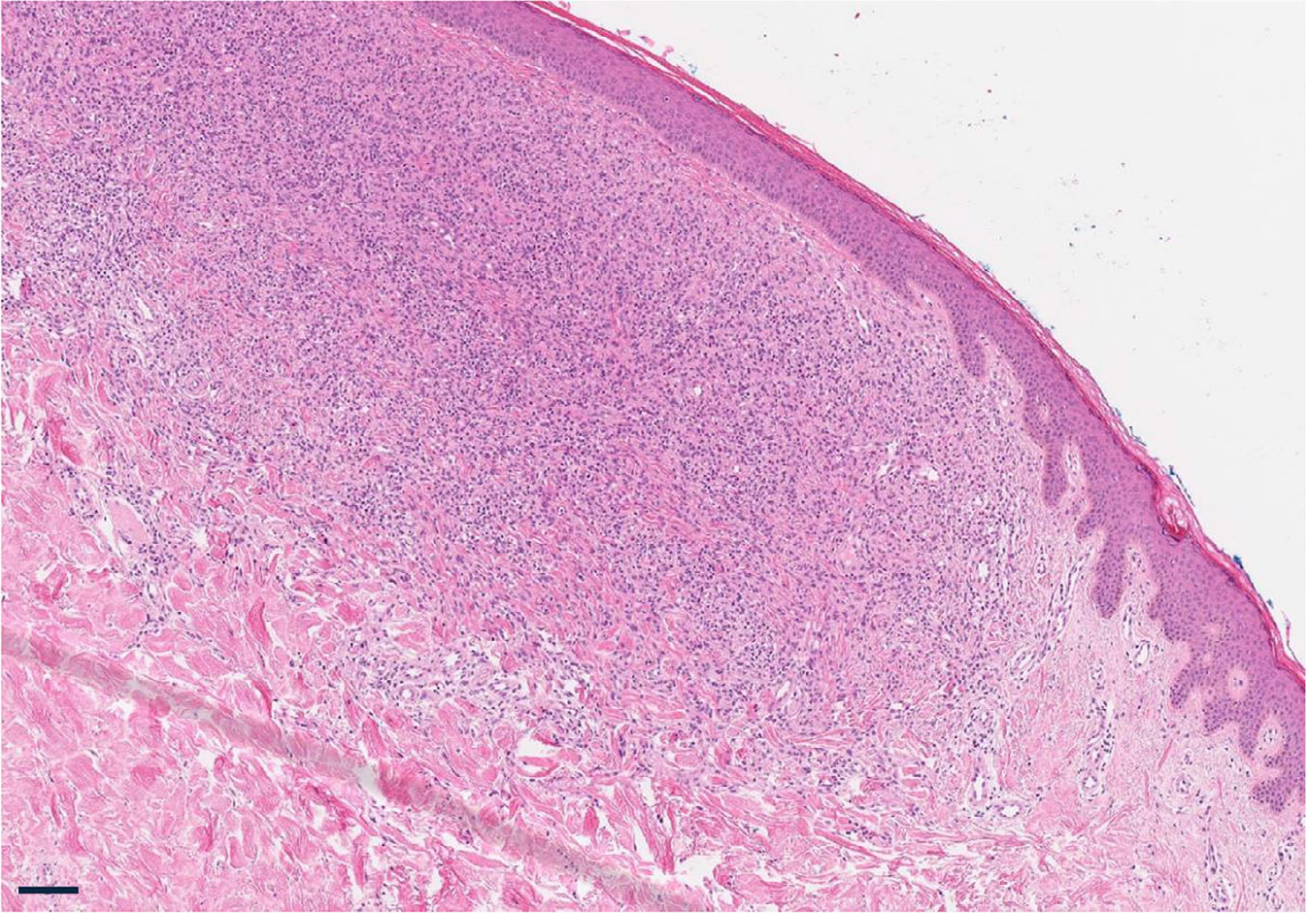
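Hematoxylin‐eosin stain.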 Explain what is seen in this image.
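Skin at low power, with a dense inflammatory infiltrate of lymphocytes and macrophages filling much of the upper dermis beneath the epidermis. The infiltrate is a crowded, purple-pink sheet made up of small dark round nuclei intermingled with larger pale cells that have more pink cytoplasm. Over the infiltrate the epidermis is thin and its lower border is nearly flat, while toward the edge it still forms downward-projecting ridges. Beneath and beside the infiltrate lie coarse pink collagen bundles of the dermis with scattered small vessels.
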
